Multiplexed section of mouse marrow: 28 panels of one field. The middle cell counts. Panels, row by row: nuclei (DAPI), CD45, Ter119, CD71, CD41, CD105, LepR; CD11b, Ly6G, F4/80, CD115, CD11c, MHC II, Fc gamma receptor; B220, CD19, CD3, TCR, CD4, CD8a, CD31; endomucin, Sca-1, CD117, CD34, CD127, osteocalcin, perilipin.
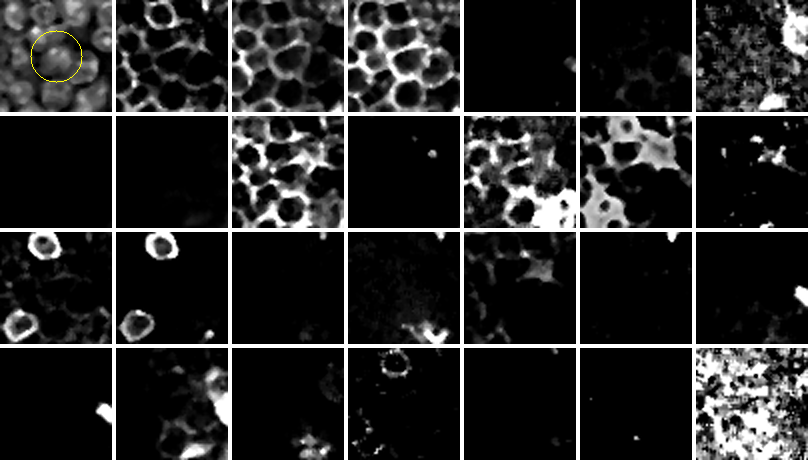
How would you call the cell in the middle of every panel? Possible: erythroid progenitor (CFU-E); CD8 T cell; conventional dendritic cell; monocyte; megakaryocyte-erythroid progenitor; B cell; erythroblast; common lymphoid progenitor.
I would call it an erythroblast.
